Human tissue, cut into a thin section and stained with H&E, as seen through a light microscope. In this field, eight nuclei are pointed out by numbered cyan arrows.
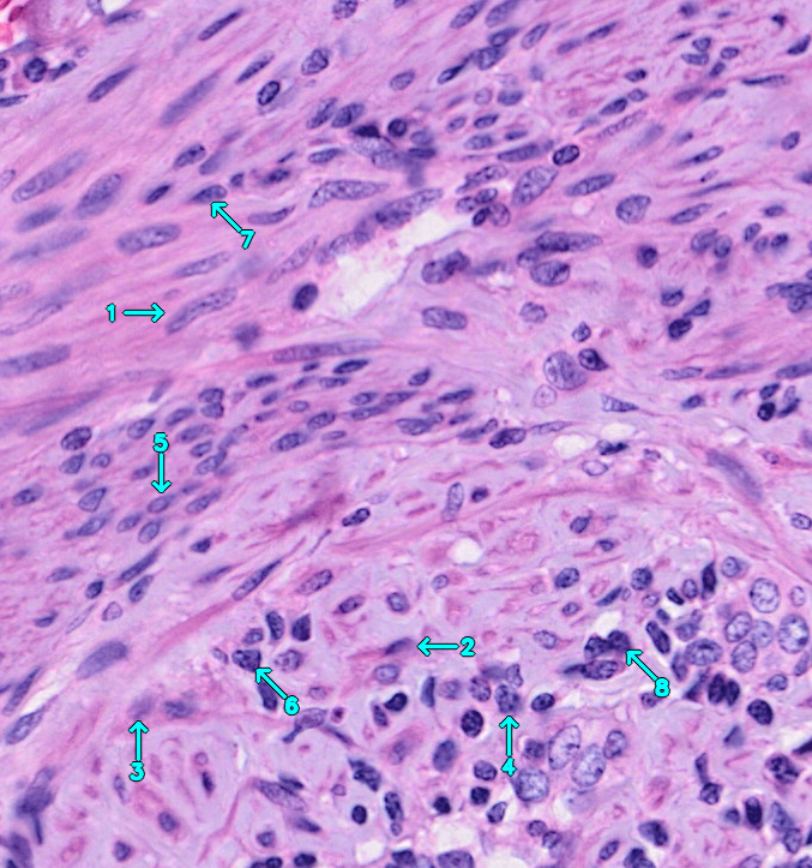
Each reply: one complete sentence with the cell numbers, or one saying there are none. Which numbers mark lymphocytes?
Cells 4, 6 and 8 are recognised here as lymphocytes.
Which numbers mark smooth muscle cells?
Within this tissue, the cells numbered 1, 2, 3 and 5 are smooth muscle cells.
